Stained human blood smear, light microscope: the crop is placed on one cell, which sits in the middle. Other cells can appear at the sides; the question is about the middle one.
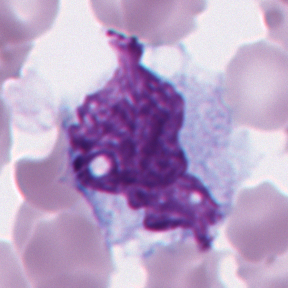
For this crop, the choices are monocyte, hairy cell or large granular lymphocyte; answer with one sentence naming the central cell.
For this crop, the cell in the middle is a monocyte.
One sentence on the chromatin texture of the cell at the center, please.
If you check the nucleus, you will find the chromatin coarsely clumped.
